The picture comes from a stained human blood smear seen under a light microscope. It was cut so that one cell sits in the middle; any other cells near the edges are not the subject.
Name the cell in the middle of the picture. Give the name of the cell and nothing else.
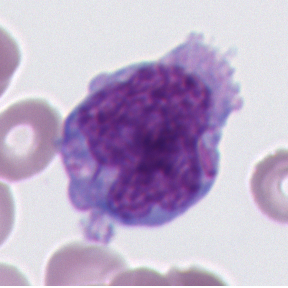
atypical promyelocyte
